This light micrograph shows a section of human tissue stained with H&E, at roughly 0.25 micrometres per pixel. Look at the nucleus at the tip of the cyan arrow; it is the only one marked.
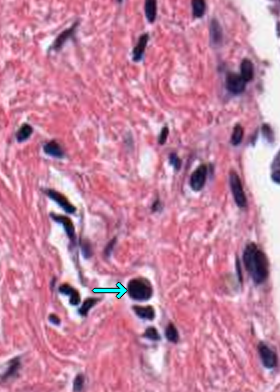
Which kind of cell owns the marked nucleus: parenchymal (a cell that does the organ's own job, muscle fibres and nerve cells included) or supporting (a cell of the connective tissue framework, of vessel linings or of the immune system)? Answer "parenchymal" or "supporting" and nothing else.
supporting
